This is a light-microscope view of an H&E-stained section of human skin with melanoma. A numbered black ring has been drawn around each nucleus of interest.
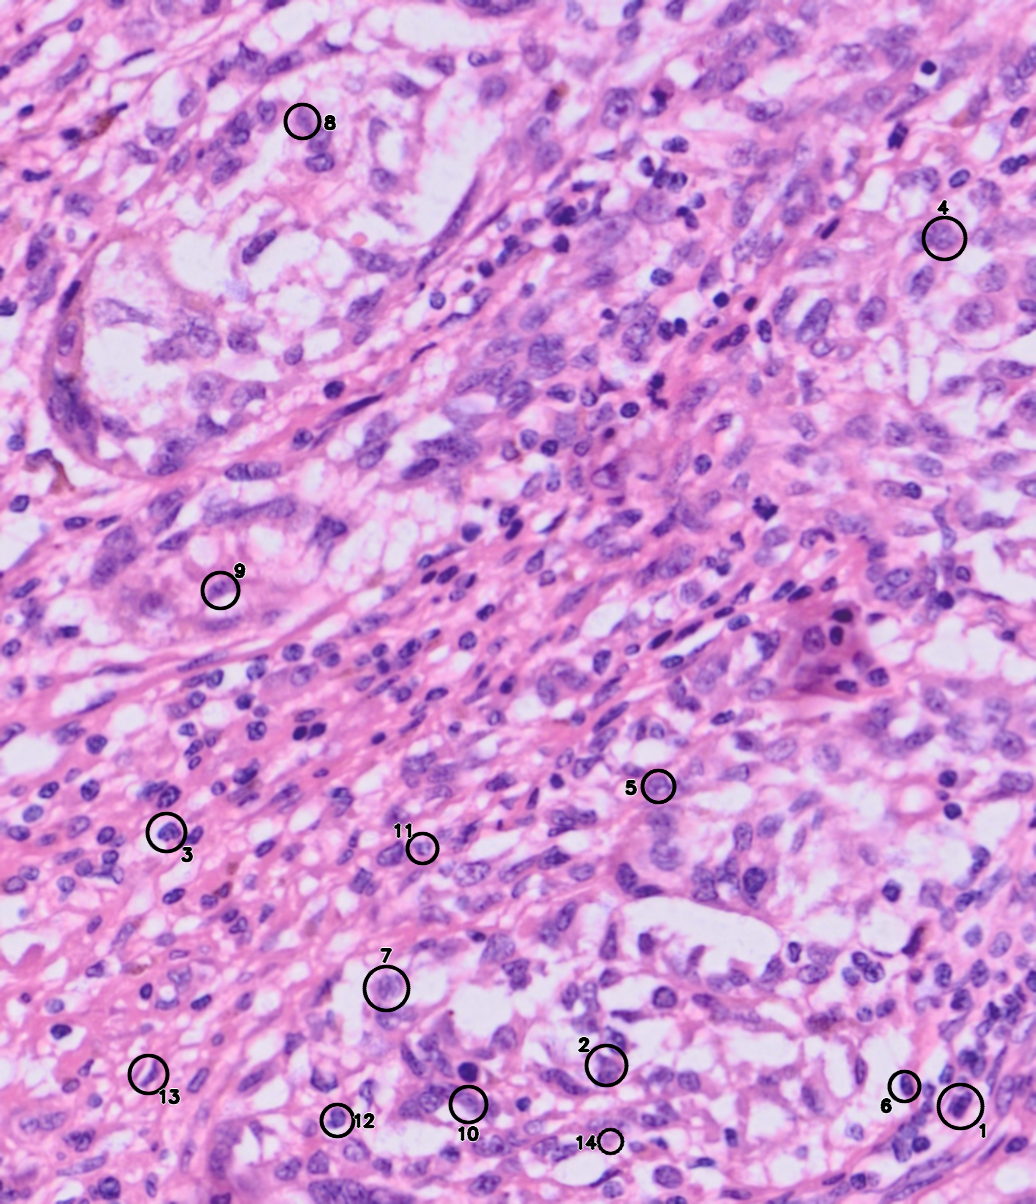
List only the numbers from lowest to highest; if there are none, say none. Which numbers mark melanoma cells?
2, 4, 5, 7, 8, 9, 10, 14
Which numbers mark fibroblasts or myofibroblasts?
13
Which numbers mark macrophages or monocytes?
none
